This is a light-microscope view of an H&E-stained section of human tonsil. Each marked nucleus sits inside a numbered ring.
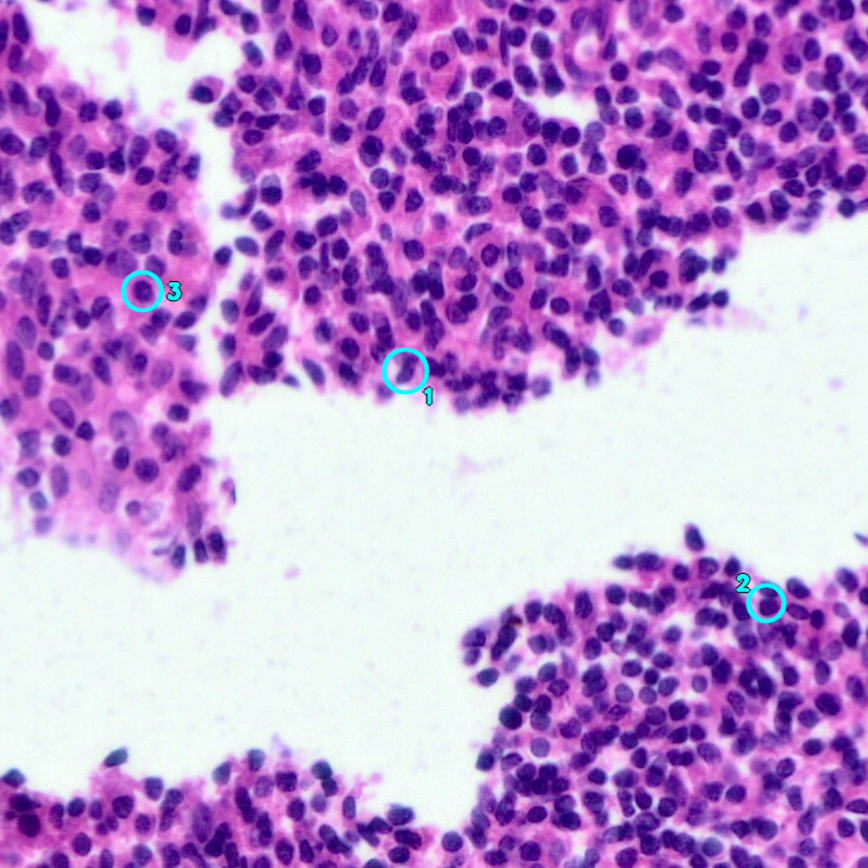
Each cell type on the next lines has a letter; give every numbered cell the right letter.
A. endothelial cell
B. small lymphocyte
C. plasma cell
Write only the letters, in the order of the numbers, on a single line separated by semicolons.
B; B; C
